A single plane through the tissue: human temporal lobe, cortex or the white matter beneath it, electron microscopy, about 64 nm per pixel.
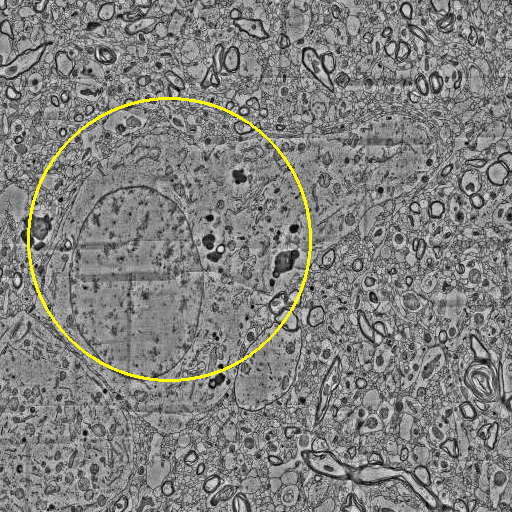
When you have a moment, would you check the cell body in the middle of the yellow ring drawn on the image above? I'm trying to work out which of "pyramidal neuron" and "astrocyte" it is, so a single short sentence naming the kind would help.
This cell body belongs to a pyramidal neuron.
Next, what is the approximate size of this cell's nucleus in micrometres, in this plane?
The nucleus appears roughly 12 by 9 micrometres in this plane.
